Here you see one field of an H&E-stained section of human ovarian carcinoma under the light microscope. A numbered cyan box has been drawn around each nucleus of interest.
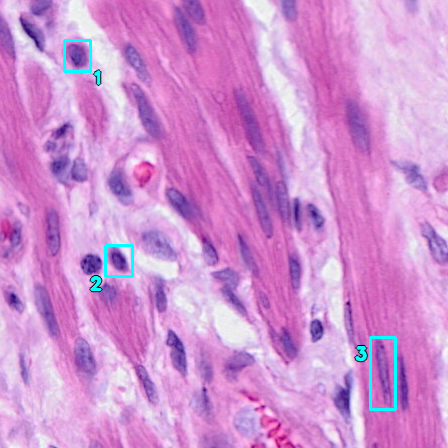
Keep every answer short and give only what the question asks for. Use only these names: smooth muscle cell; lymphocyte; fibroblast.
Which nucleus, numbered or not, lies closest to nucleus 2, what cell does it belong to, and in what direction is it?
a lymphocyte; to the left of nucleus 2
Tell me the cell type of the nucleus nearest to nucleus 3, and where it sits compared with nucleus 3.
a smooth muscle cell, below and to the right of nucleus 3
